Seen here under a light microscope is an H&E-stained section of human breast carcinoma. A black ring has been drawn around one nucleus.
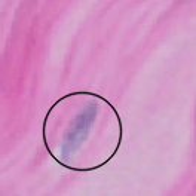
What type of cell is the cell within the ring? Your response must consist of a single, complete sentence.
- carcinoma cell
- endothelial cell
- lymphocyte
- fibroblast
As for its identity, the cell within the ring is a fibroblast.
